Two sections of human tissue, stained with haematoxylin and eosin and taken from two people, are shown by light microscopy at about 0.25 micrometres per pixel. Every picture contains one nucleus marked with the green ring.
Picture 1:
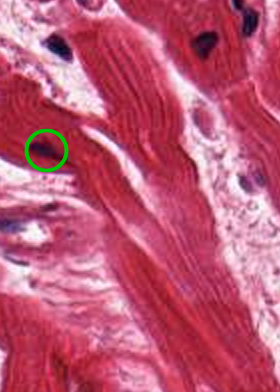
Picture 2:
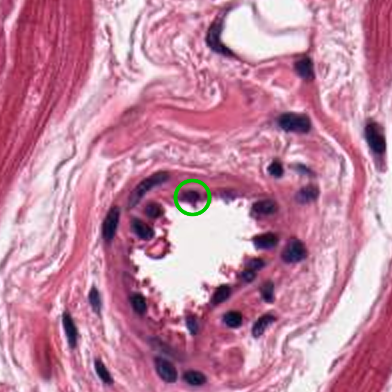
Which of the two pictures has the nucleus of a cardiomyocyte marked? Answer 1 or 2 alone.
1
